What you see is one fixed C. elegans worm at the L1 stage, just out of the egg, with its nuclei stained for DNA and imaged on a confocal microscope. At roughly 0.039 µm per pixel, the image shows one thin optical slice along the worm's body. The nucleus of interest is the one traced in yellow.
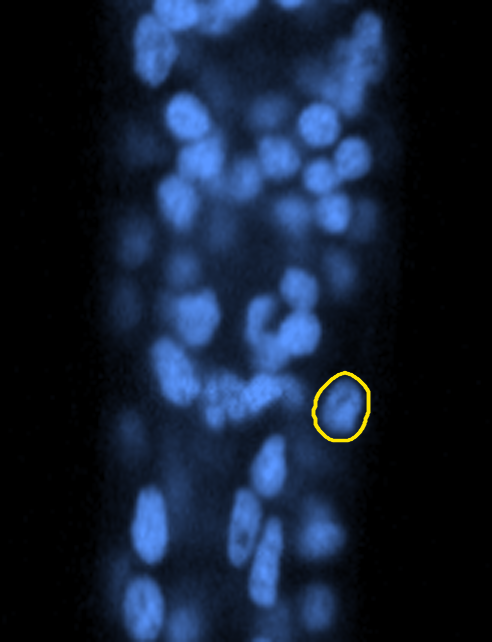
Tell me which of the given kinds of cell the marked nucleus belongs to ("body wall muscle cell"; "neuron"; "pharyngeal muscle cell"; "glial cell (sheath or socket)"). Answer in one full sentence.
The marked nucleus belongs to a body wall muscle cell.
